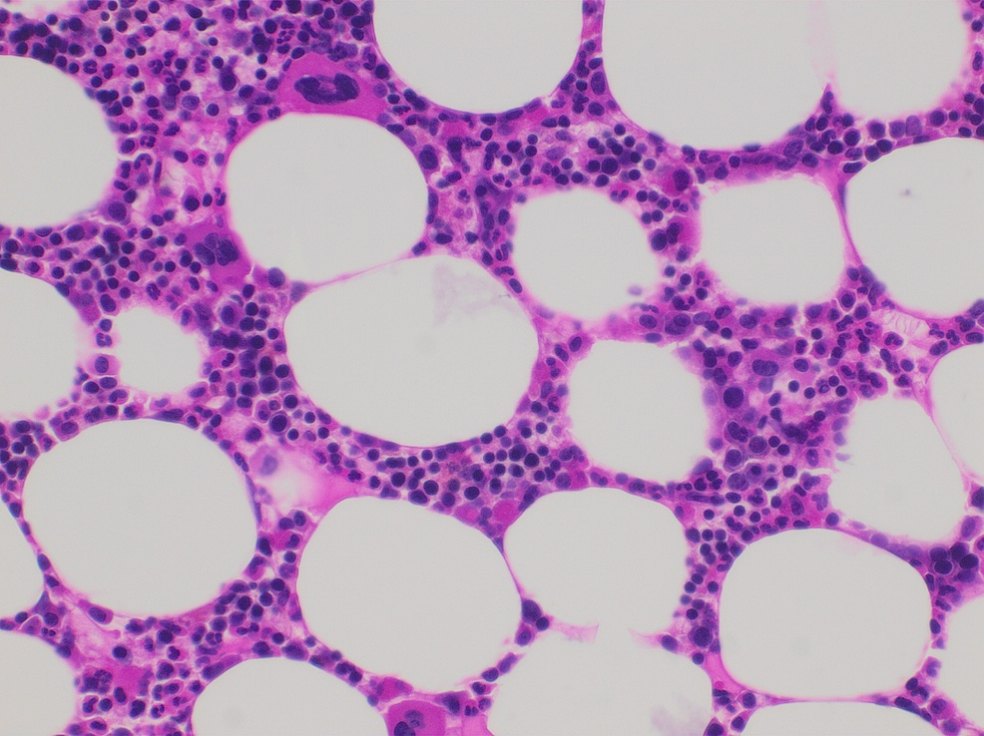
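This is hematopoietic bone marrow, with blood-forming cells lying between rounded fat cells. The fat cells appear as large, clear, round to oval spaces of varying size, separated by thin cords and sheets of cells. The hematopoietic cells between them are mostly small and round, with dark purple nuclei. Many of these small cells sit in tight clusters, in keeping with erythroid precursors. Scattered among them are a few very large cells with abundant pink cytoplasm and large lobed nuclei, which are megakaryocytes. No sheets of foreign, cohesive cells that would suggest metastatic tumour are seen.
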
